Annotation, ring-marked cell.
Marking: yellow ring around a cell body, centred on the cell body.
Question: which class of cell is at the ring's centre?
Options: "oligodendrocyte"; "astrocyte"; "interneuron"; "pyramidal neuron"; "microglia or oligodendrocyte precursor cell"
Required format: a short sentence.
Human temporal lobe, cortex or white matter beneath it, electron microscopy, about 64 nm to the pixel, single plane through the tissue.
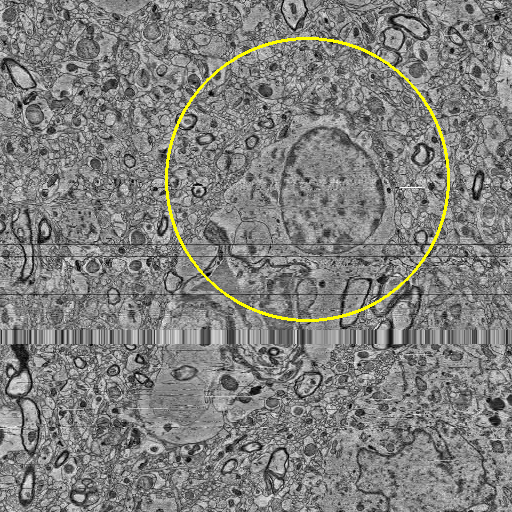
At the ring's centre is a microglial cell or oligodendrocyte precursor cell.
